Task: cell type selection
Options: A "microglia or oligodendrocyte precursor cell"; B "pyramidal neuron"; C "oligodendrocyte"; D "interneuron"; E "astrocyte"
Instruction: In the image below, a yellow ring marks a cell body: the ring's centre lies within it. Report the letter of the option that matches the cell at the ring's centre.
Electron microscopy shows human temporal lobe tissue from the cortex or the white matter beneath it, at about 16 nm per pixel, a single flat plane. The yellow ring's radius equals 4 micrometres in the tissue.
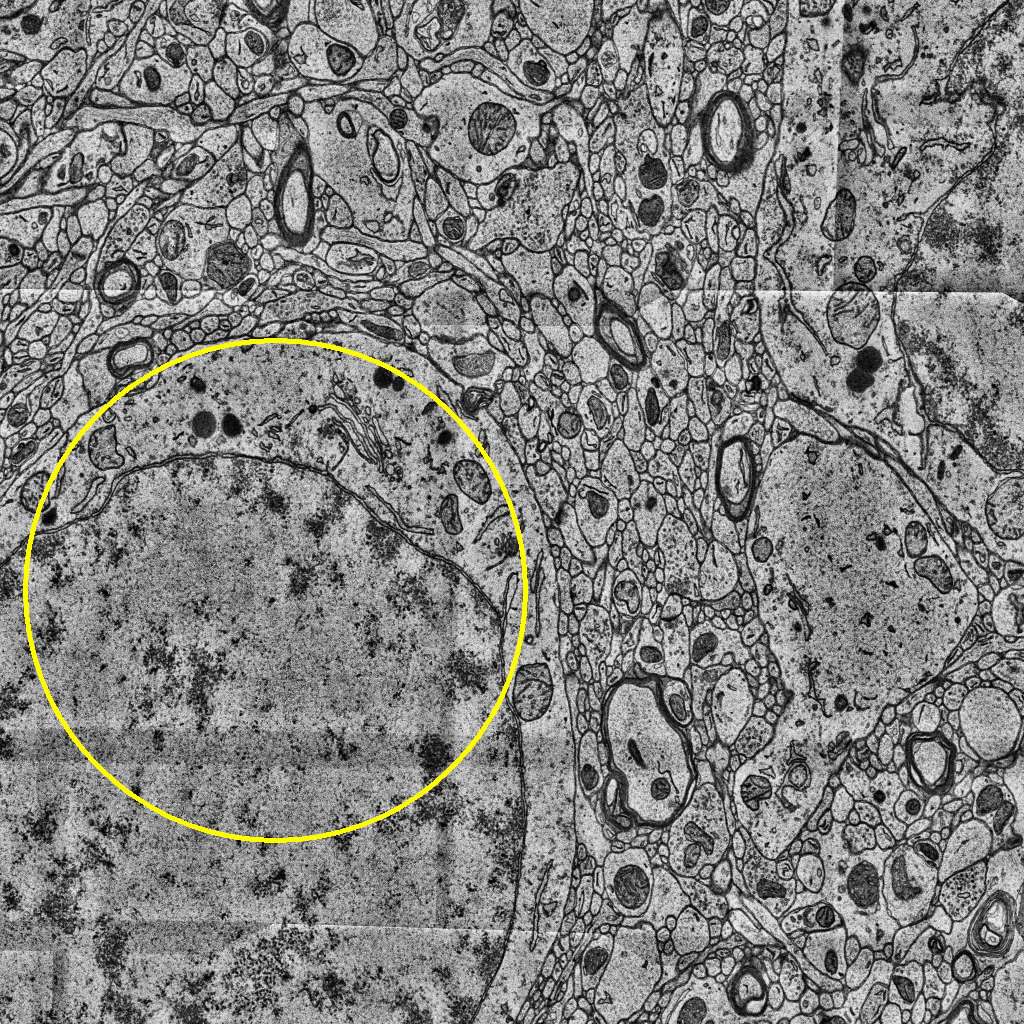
B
